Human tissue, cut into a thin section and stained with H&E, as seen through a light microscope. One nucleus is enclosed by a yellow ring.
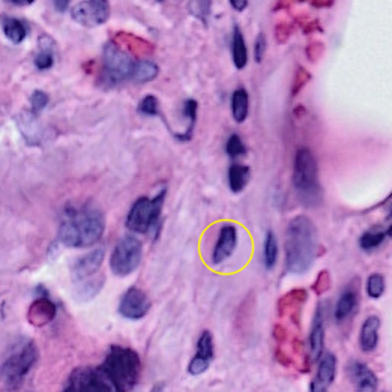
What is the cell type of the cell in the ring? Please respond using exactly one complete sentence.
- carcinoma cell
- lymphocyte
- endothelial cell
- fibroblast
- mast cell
Placed in its cell category, the cell in the ring is a mast cell.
